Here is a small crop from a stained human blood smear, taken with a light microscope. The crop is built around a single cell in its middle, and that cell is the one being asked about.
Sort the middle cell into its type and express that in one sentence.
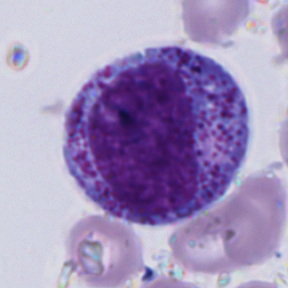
In the middle of this smear crop, the cell is a promyelocyte.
